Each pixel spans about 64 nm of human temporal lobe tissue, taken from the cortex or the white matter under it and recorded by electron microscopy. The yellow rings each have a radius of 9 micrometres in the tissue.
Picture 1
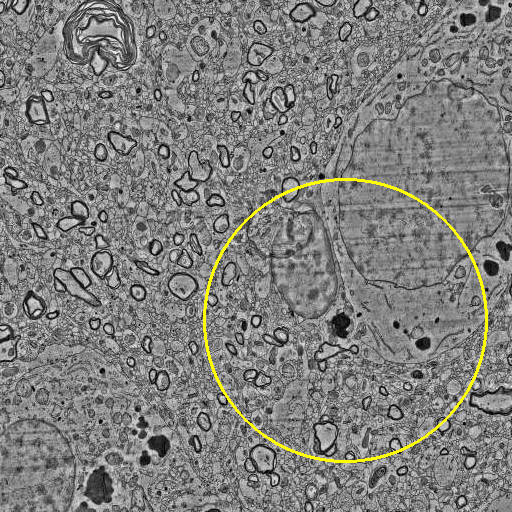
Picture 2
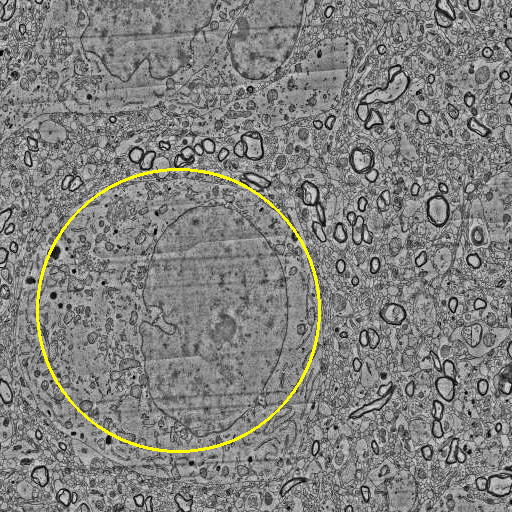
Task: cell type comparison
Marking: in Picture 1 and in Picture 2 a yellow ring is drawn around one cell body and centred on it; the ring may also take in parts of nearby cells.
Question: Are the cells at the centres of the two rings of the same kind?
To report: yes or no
no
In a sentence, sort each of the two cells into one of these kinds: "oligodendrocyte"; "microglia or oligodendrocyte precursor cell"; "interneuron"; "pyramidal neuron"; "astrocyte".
The first of the two cells is an oligodendrocyte, and the second is a pyramidal neuron.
